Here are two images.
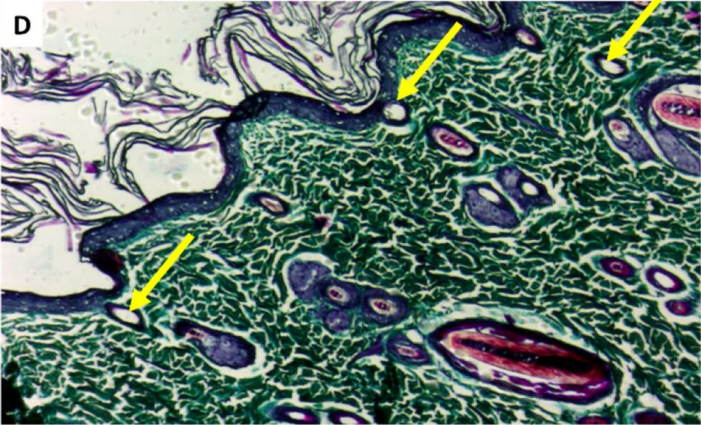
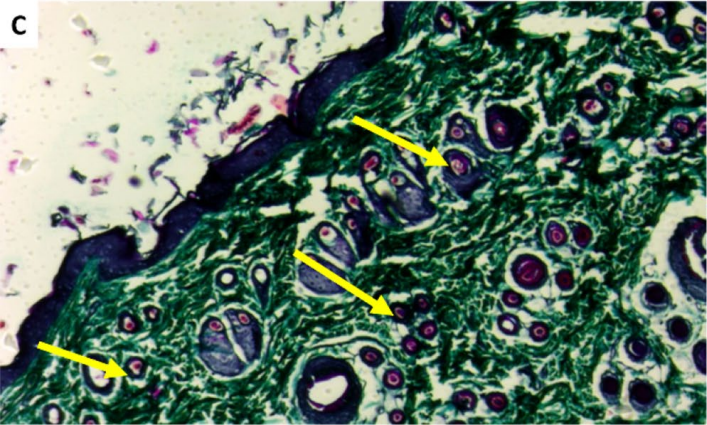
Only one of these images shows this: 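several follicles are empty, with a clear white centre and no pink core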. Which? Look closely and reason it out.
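The first image. Second image: most follicle profiles in the dermis have pink-red cores. First image: the marked follicle profiles have clear white centres without pink cores.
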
